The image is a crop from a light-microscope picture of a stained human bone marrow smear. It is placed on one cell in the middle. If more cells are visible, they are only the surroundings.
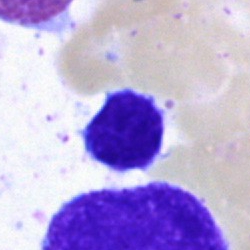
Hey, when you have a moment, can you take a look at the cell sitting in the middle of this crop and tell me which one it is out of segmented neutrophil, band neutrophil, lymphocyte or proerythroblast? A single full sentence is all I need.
To answer, the cell in the center of the crop is a lymphocyte.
